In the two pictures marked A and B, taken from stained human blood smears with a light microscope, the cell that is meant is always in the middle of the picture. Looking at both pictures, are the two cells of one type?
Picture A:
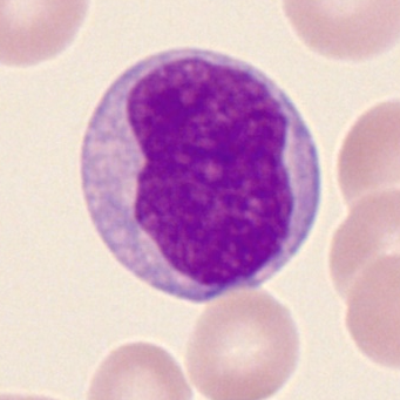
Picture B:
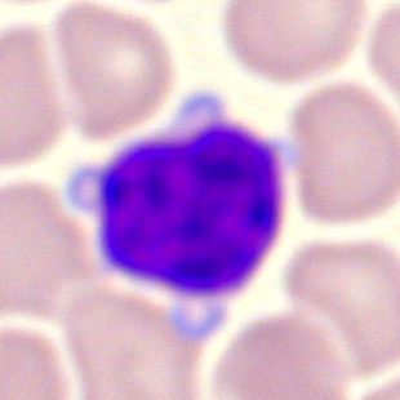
no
